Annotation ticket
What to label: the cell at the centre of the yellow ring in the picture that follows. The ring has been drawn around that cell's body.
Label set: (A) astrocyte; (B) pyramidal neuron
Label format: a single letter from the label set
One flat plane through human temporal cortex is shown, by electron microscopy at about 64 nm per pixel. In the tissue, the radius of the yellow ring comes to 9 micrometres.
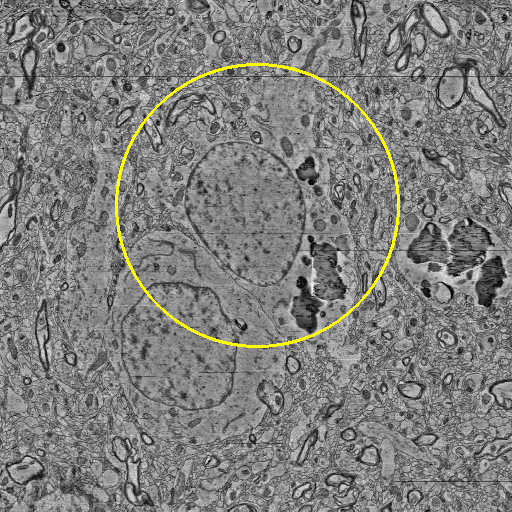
A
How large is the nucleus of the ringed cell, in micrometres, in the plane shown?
About 10 by 7 micrometers for the nucleus, in this plane.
